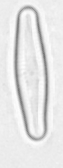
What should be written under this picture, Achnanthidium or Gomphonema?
Achnanthidium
